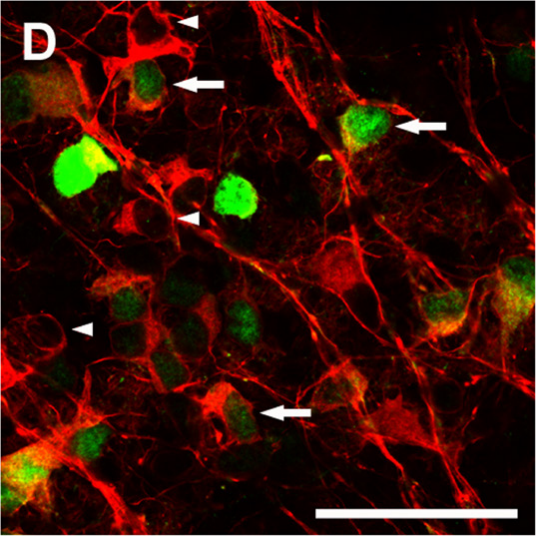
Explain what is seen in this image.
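This is a flat-mounted retina at the level of the ganglion cell layer, showing retinal ganglion cells as rounded to angular cell bodies outlined in red, with red processes and diagonal red fibre bundles running between them. Many of the cell bodies are also filled with green, some brightly and some faintly, while others are red only, lacking any green.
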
